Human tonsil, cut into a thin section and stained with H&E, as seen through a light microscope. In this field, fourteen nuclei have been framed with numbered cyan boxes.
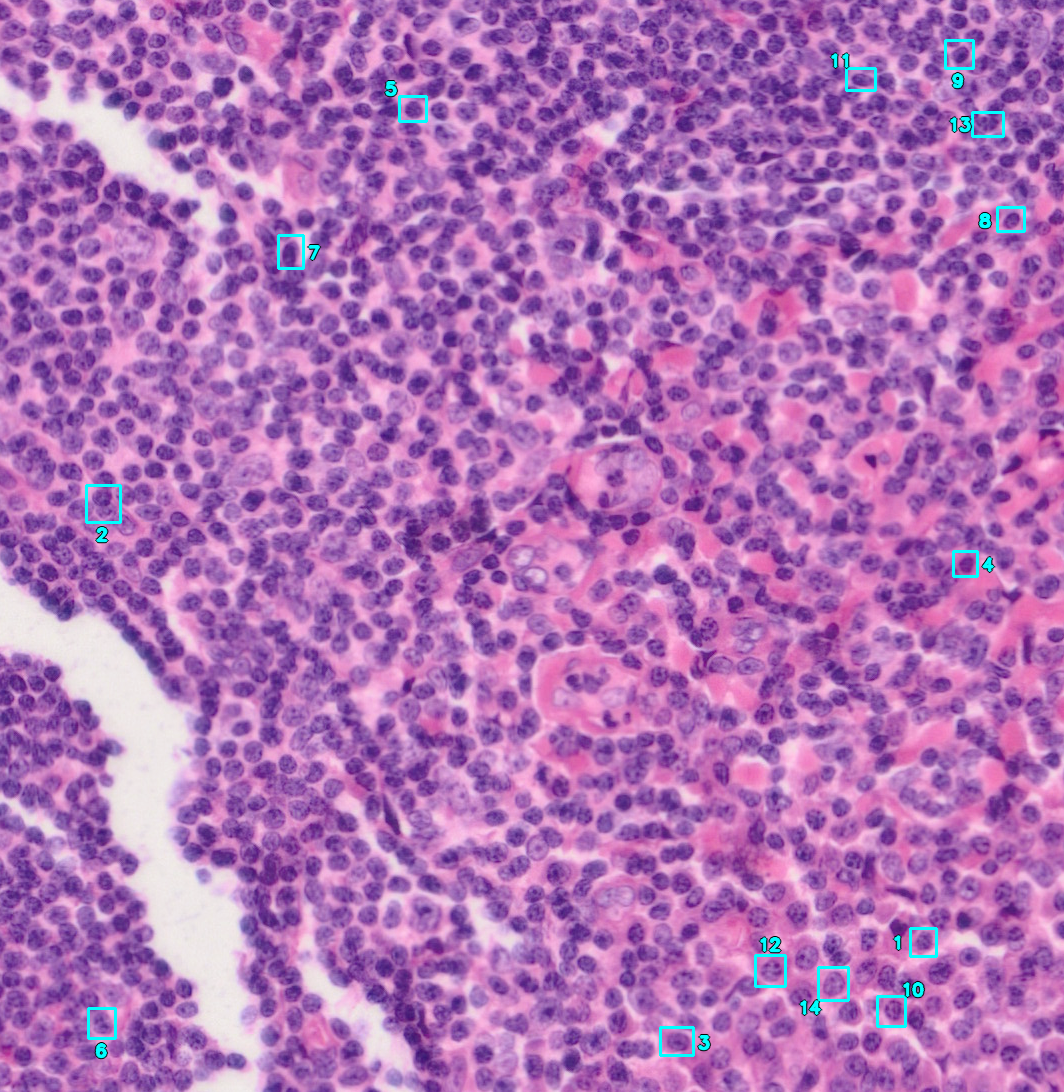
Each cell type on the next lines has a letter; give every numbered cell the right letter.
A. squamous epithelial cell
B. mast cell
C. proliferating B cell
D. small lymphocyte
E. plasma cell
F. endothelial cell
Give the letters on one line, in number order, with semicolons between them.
E; D; E; E; D; D; D; D; D; E; D; E; D; E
